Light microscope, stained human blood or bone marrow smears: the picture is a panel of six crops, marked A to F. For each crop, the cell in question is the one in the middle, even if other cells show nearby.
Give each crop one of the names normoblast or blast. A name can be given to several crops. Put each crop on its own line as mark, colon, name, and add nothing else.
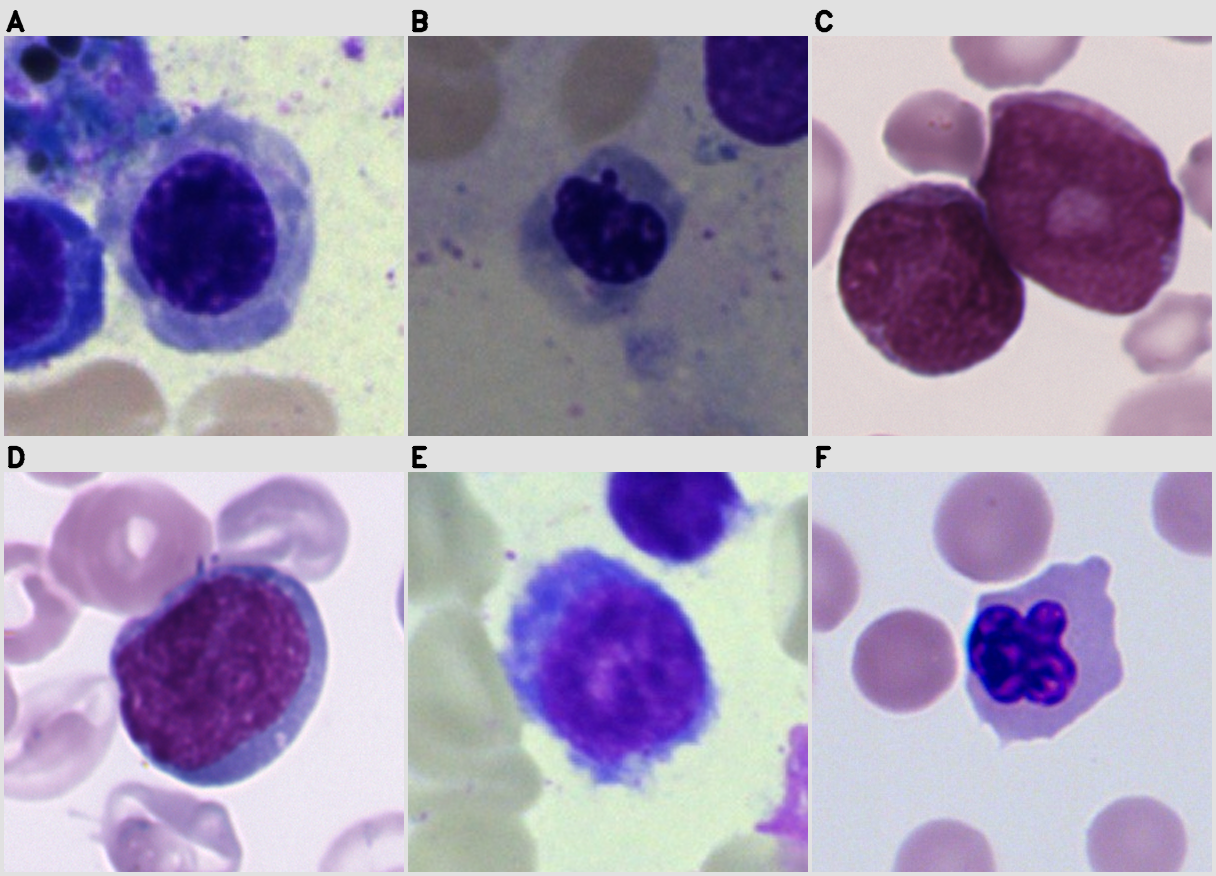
A: normoblast
B: normoblast
C: blast
D: blast
E: blast
F: normoblast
